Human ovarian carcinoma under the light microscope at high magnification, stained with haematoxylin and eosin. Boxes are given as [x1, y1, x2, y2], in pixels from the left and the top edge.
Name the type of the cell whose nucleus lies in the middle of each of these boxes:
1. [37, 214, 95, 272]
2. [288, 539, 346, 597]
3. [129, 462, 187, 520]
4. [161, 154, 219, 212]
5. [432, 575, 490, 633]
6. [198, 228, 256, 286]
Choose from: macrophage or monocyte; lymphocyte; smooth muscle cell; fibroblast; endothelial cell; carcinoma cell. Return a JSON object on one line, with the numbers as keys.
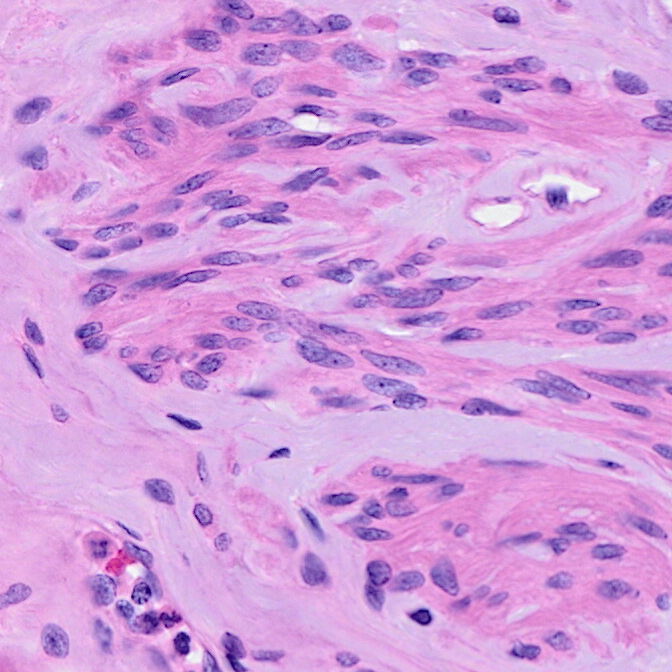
{"1": "smooth muscle cell", "2": "fibroblast", "3": "fibroblast", "4": "smooth muscle cell", "5": "smooth muscle cell", "6": "smooth muscle cell"}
